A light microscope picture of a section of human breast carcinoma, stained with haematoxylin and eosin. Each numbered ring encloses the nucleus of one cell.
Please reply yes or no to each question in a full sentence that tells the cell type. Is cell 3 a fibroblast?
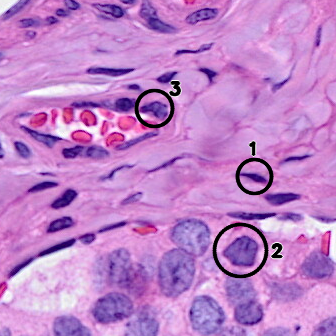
No, the right label for cell 3 is an endothelial cell rather than a fibroblast.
